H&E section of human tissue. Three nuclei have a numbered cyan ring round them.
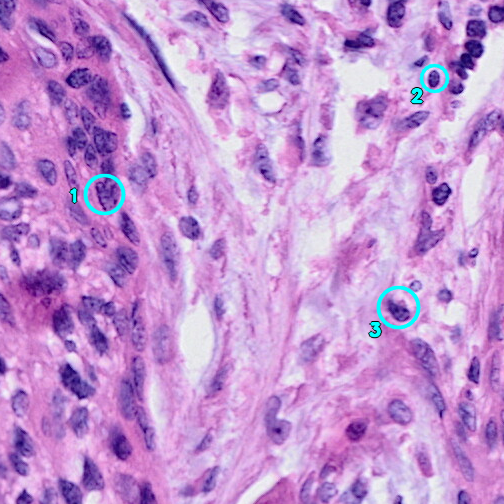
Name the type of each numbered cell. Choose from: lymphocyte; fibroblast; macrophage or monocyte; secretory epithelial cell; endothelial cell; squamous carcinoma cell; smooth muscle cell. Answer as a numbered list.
1. squamous carcinoma cell
2. lymphocyte
3. lymphocyte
